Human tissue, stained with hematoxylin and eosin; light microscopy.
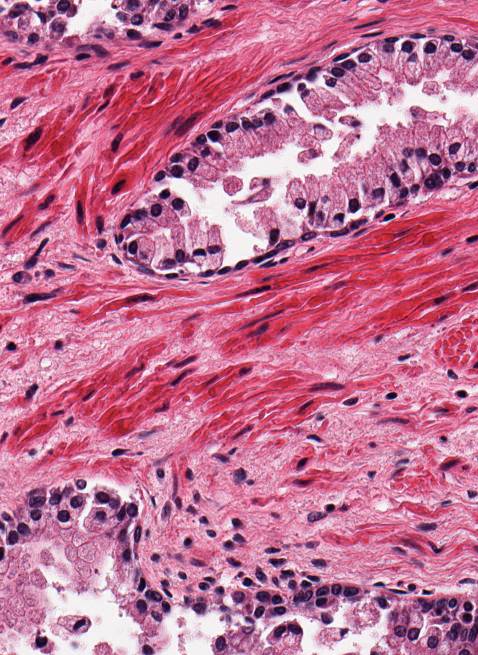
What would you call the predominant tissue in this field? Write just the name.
fibromuscular stroma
